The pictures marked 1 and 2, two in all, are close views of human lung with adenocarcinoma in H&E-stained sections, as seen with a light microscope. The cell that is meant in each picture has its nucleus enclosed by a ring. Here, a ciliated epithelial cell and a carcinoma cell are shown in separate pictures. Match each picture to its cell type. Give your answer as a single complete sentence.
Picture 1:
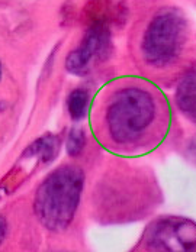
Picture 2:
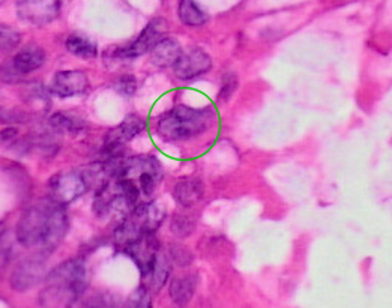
In picture 1 the cell is a carcinoma cell; in picture 2, a ciliated epithelial cell.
